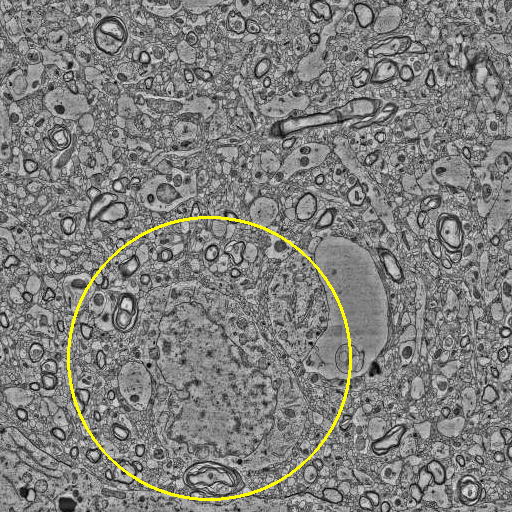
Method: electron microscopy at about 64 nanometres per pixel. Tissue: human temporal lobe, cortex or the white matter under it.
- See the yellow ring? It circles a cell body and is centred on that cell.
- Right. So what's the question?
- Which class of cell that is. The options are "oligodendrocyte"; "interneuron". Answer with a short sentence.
The centre of the ring holds an interneuron.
